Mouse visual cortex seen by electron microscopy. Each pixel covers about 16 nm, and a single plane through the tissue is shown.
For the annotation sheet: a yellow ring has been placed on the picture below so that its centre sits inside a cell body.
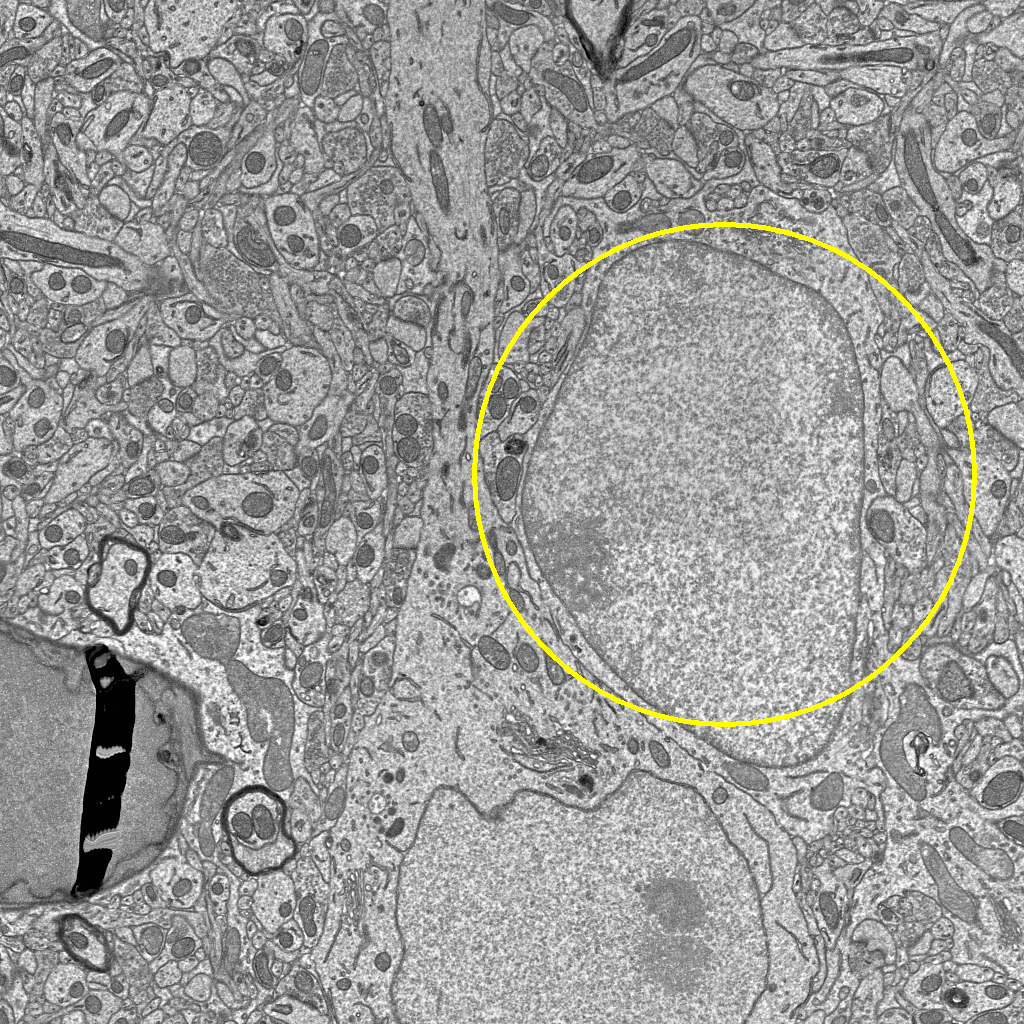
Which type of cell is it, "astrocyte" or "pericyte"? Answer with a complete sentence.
The cell at the ring's centre is an astrocyte.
